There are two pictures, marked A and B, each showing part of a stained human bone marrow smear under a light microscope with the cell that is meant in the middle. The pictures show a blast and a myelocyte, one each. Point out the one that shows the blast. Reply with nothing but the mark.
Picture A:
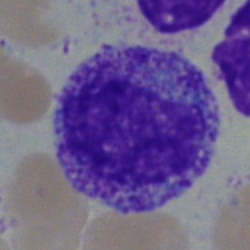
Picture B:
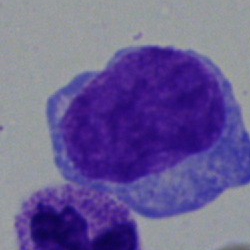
B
